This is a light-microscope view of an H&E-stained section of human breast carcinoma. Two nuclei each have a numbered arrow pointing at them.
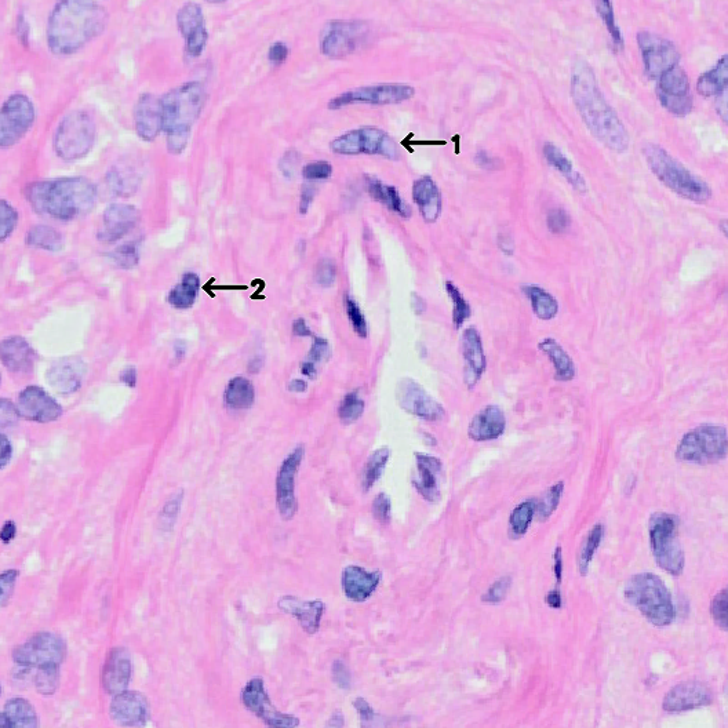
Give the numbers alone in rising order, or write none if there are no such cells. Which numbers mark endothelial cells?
1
